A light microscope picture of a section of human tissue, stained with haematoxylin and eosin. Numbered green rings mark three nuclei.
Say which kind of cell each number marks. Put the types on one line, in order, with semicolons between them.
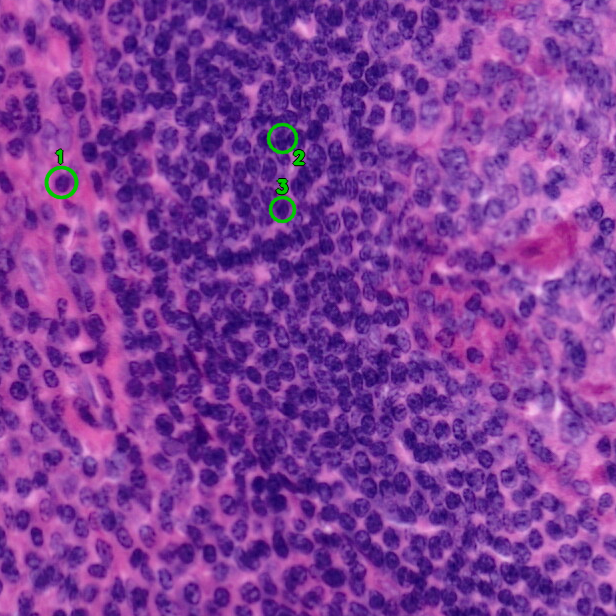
endothelial cell; small lymphocyte; small lymphocyte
